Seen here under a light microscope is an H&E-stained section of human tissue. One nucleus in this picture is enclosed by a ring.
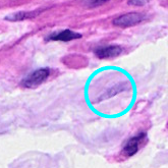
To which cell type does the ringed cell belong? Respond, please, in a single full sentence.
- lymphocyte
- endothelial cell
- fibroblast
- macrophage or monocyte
For the purposes of cell typing, the ringed cell is categorized as a fibroblast.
